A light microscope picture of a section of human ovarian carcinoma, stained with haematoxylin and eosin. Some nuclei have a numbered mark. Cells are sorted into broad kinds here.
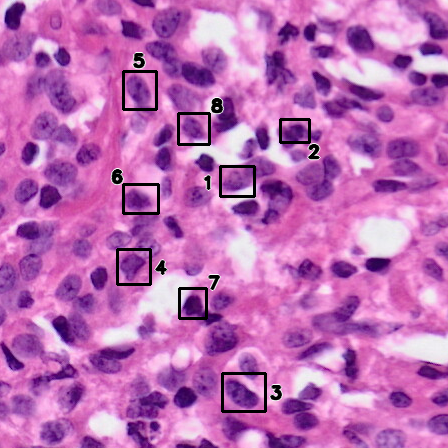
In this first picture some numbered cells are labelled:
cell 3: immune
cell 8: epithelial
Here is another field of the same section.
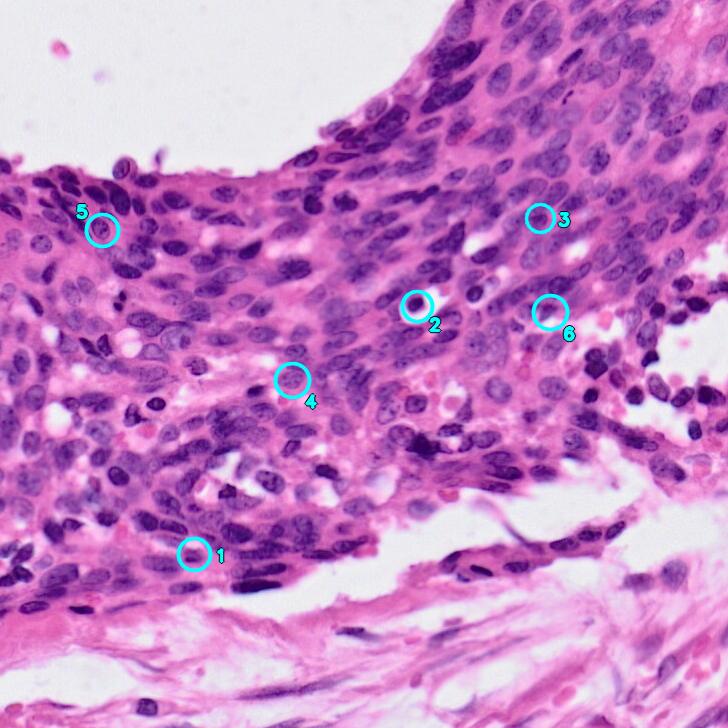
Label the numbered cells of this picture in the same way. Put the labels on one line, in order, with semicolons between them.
immune; epithelial; epithelial; epithelial; immune; epithelial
